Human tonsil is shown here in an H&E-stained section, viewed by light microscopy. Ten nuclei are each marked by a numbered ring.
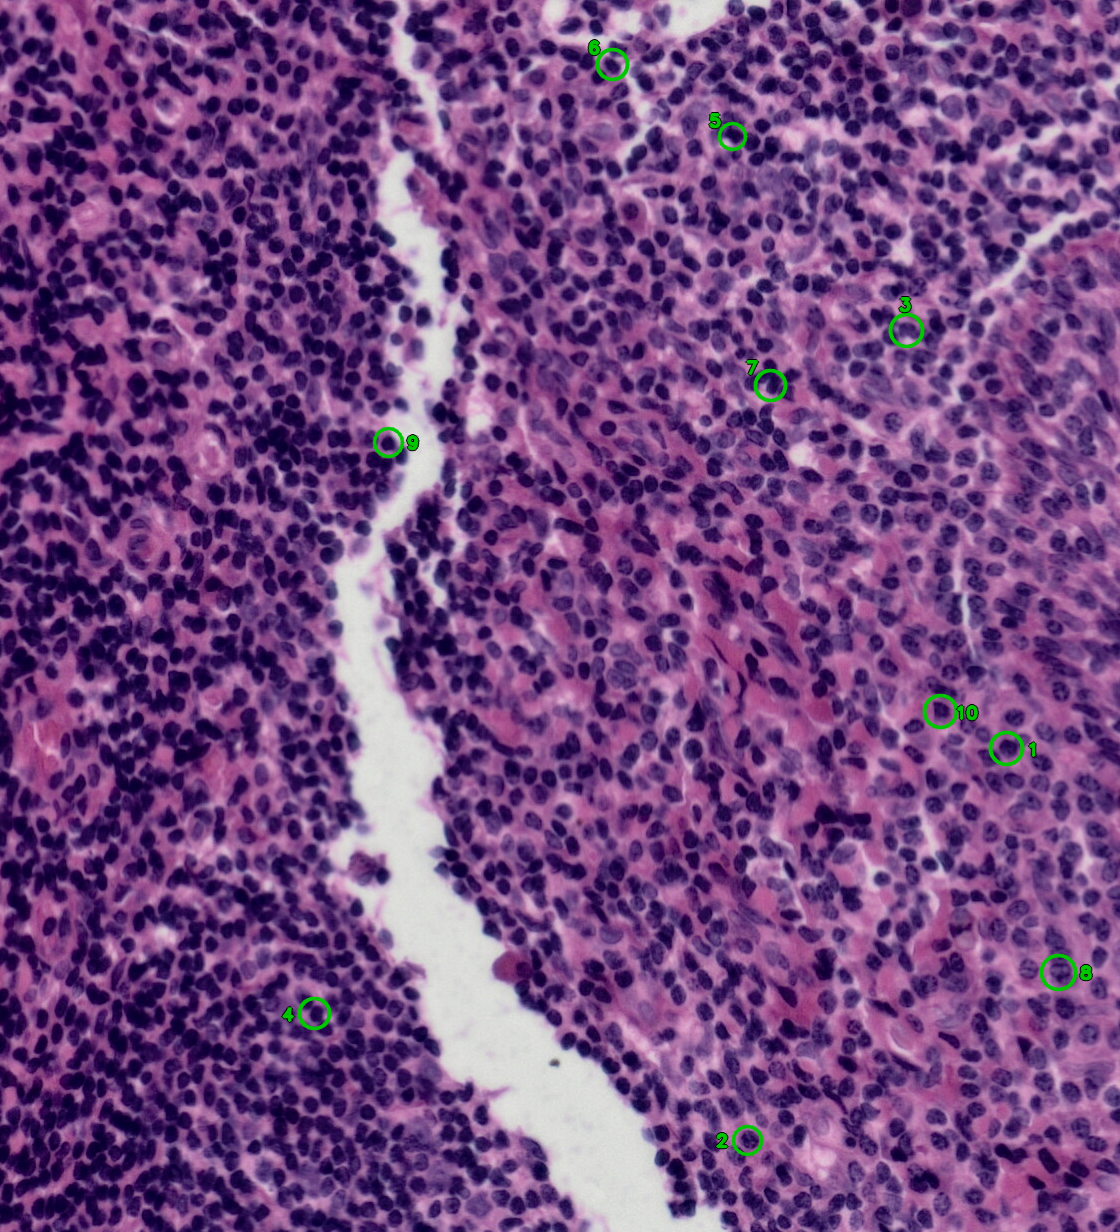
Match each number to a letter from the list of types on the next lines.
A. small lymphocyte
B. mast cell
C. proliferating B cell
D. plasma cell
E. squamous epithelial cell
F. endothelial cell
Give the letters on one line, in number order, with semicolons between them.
D; D; A; A; A; A; A; D; A; D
